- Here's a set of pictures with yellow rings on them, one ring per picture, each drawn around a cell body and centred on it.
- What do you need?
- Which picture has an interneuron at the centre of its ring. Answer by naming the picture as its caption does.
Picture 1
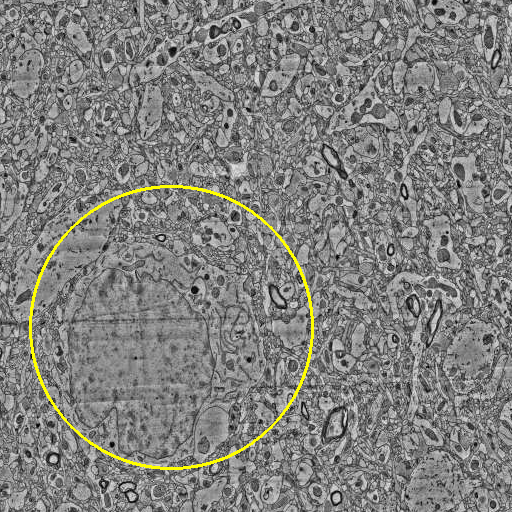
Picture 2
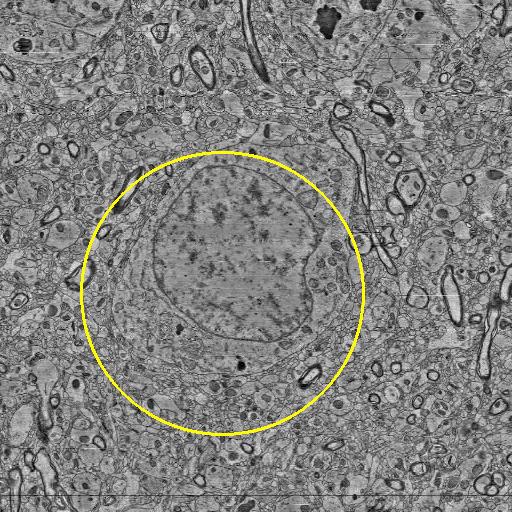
Picture 1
